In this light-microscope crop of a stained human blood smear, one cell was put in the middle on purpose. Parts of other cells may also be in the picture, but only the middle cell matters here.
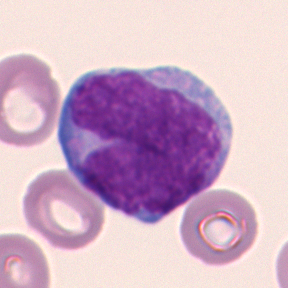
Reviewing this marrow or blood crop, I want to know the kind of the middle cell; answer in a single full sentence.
The cell in the middle of the field of view is an atypical promyelocyte.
